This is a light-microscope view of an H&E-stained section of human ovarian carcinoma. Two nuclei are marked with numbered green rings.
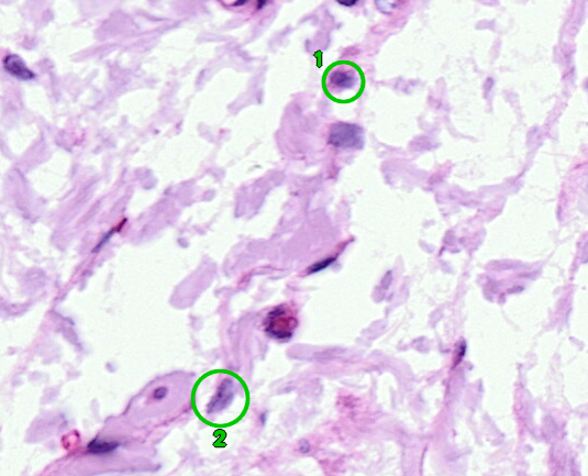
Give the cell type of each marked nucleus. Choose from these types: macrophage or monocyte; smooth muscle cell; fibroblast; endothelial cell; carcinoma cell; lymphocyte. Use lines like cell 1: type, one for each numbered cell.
cell 1: macrophage or monocyte
cell 2: fibroblast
